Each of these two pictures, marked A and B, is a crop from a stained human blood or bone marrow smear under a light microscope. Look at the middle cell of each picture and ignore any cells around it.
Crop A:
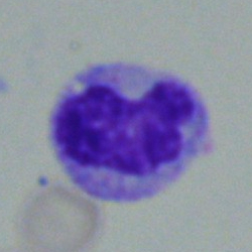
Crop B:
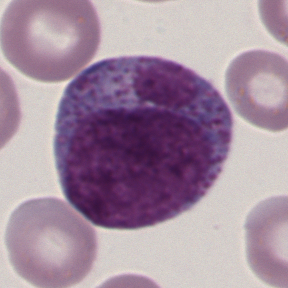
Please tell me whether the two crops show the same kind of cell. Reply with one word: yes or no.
no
